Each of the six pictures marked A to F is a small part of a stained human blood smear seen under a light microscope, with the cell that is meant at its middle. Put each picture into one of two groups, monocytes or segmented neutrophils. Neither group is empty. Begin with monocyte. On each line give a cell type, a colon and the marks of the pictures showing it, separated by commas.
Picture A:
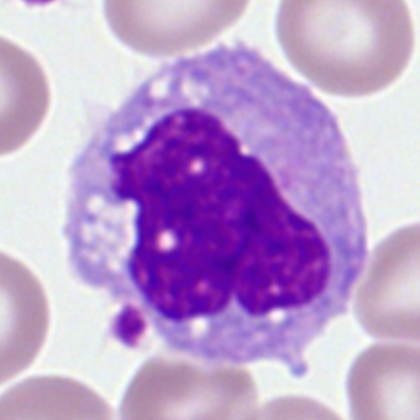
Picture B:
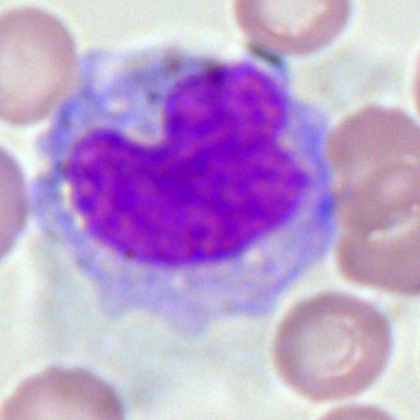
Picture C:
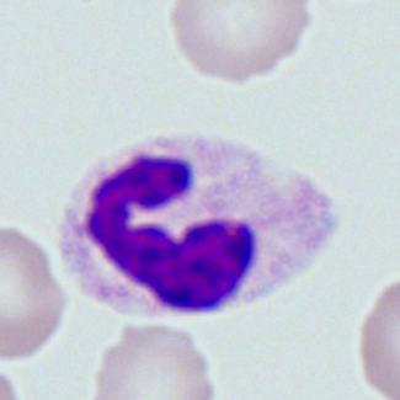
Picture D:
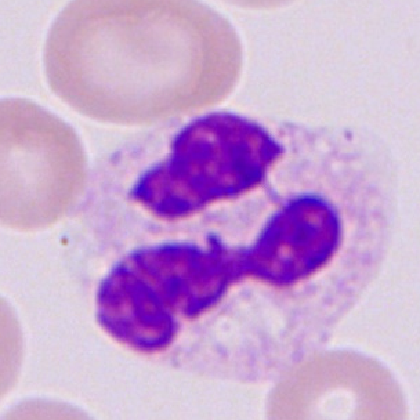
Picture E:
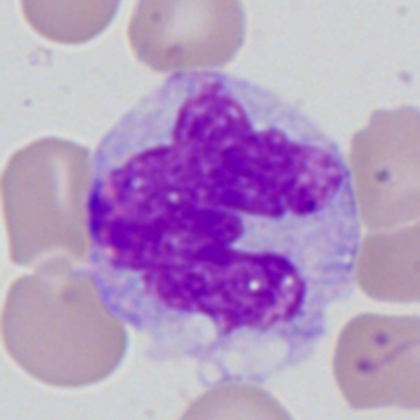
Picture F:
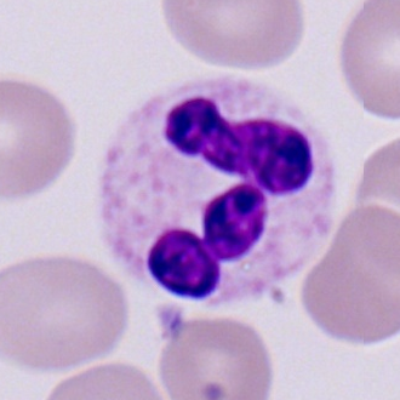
monocyte: A, B, E
segmented neutrophil: C, D, F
